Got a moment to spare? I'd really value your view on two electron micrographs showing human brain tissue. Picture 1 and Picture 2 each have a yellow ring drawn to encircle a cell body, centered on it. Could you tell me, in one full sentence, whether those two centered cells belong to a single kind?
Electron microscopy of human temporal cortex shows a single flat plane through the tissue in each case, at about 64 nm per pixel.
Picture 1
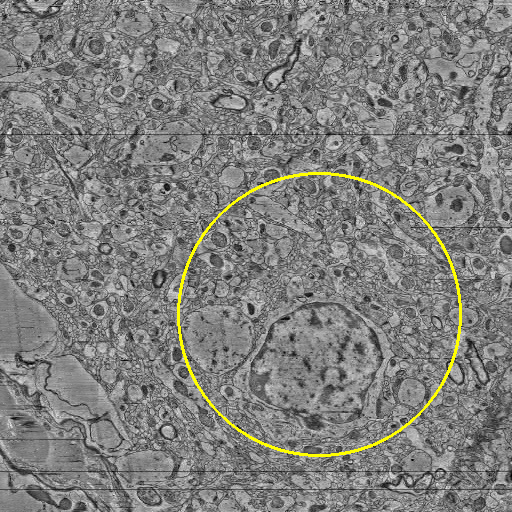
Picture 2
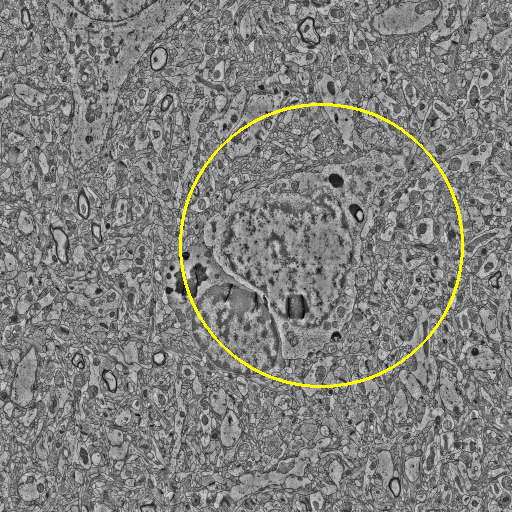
No, the two centered cells in Picture 1 and Picture 2 are of two kinds.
